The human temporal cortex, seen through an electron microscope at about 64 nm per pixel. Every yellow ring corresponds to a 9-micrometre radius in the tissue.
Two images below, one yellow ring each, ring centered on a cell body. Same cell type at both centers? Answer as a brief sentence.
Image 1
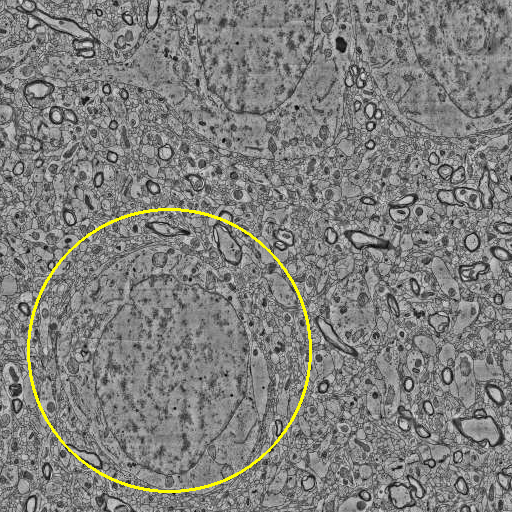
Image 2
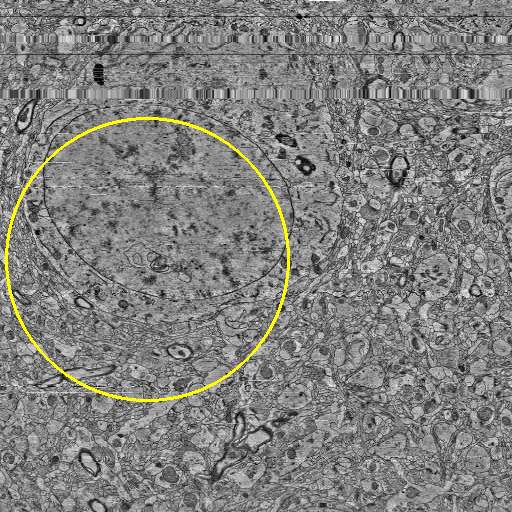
Yes, both cells are of the same type.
